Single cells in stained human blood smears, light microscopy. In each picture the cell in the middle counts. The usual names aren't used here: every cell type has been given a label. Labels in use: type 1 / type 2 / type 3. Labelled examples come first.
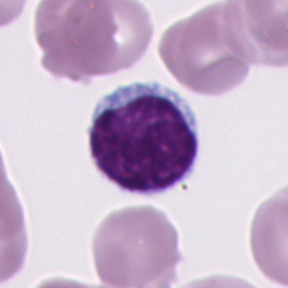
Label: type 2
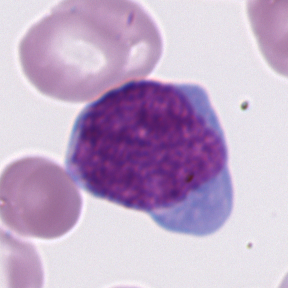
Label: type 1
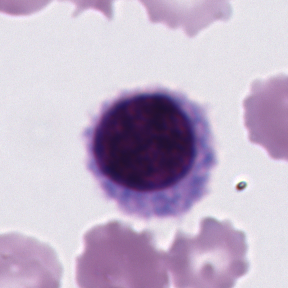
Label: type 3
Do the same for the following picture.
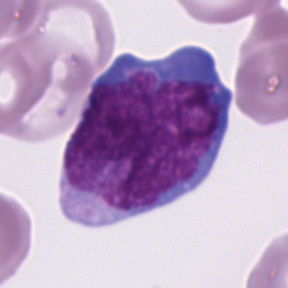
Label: type 1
